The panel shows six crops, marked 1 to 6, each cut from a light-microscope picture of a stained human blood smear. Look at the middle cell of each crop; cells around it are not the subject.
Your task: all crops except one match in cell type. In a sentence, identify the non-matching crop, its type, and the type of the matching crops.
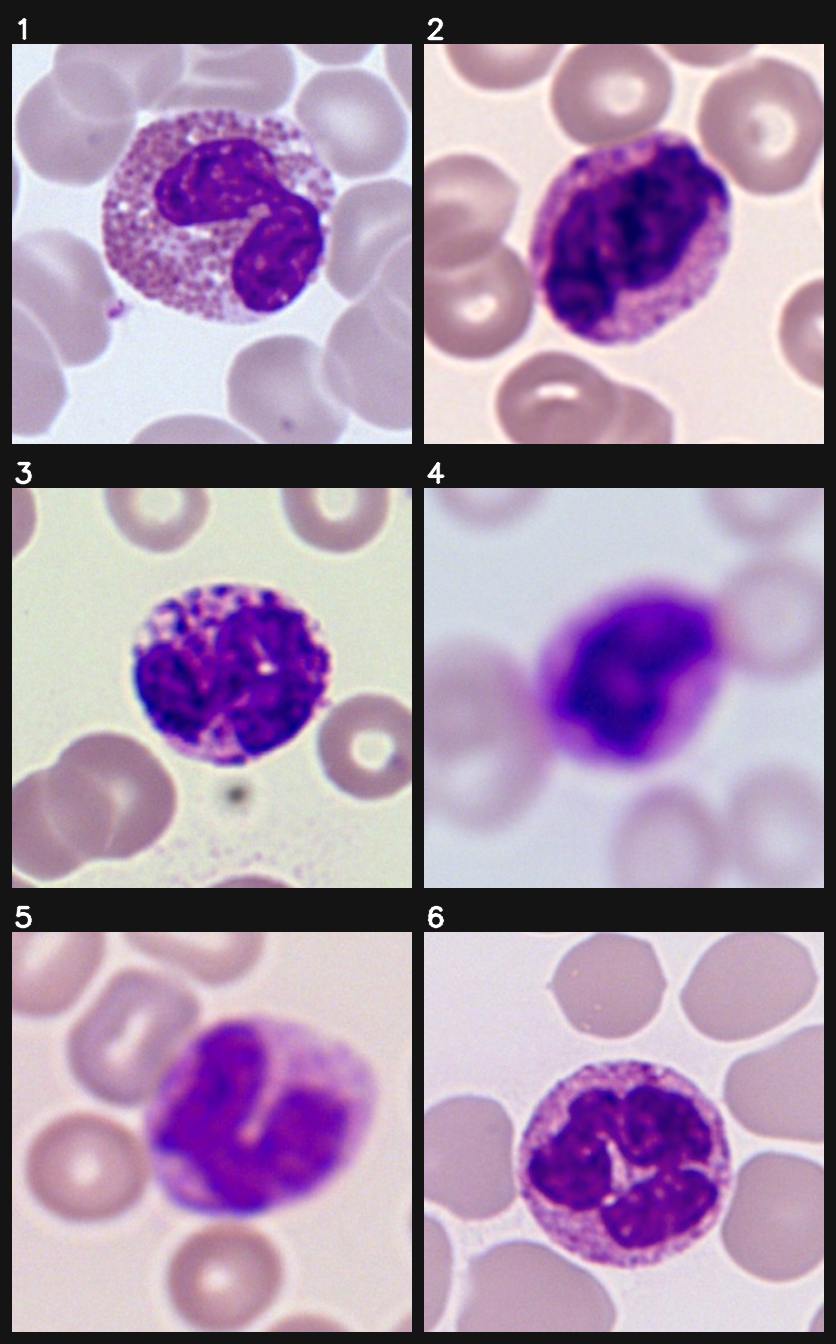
Crop 1 is the exception in this set, showing an eosinophil while the others show basophils.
